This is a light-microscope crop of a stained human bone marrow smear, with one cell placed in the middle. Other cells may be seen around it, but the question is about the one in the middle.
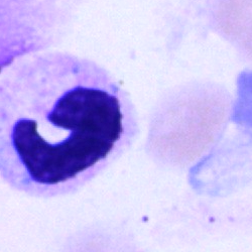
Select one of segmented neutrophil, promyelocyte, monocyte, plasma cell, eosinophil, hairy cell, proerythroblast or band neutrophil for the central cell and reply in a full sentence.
The crop shows a band neutrophil in its centre.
